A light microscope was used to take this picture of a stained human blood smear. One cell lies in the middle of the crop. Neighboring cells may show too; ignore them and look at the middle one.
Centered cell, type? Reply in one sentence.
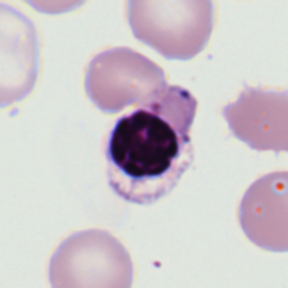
By classification, the middle cell of this crop is an erythroblast.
